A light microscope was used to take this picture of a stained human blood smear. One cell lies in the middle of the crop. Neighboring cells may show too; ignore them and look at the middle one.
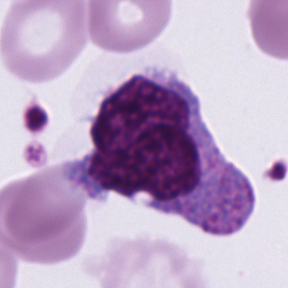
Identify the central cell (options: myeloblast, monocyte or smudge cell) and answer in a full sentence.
The cell nearest the centre of this crop is a monocyte.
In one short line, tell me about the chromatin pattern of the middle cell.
If you check the nucleus, you will find the chromatin coarsely clumped.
